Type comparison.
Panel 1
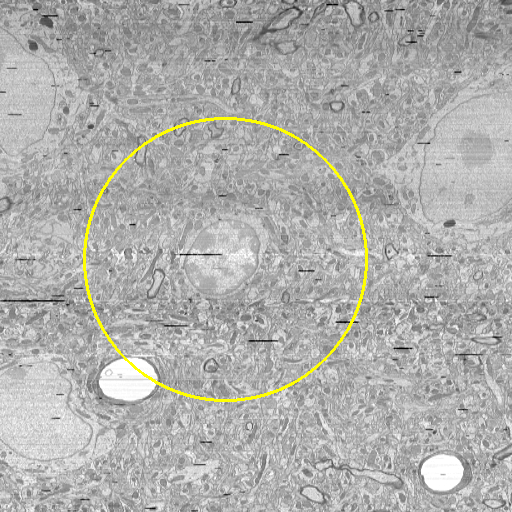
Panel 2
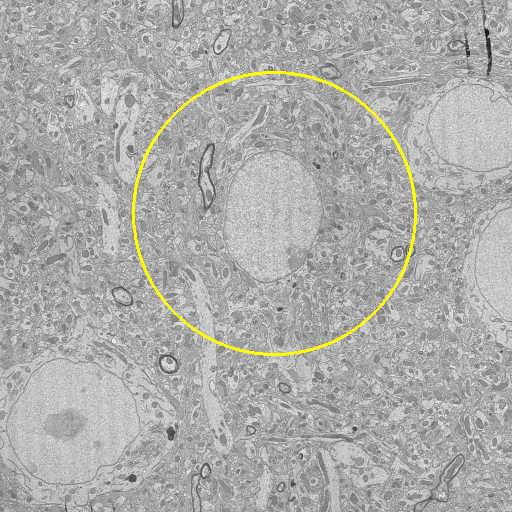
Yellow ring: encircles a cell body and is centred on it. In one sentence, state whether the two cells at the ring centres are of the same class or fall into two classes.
In these panels, the two cells at the ring centres fall into two classes.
